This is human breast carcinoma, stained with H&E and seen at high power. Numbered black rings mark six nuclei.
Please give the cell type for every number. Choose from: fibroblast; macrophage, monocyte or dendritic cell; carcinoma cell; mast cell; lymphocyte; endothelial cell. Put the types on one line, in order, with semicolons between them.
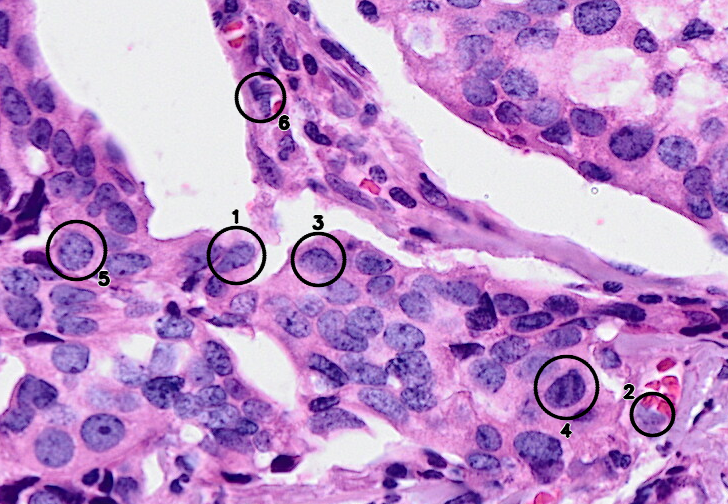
carcinoma cell; endothelial cell; carcinoma cell; carcinoma cell; carcinoma cell; endothelial cell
